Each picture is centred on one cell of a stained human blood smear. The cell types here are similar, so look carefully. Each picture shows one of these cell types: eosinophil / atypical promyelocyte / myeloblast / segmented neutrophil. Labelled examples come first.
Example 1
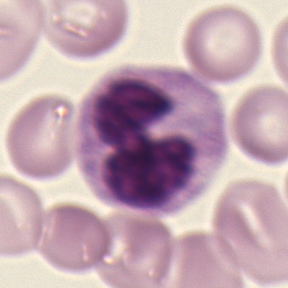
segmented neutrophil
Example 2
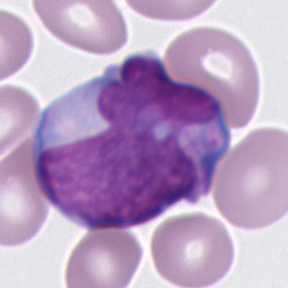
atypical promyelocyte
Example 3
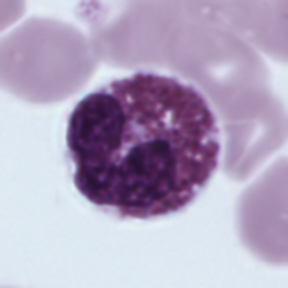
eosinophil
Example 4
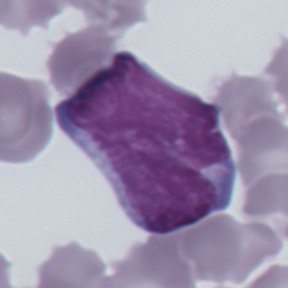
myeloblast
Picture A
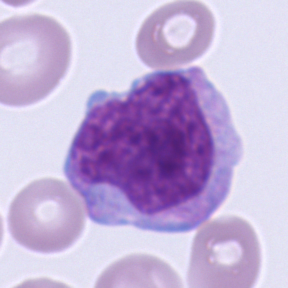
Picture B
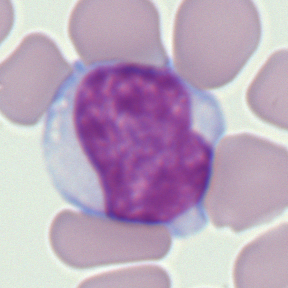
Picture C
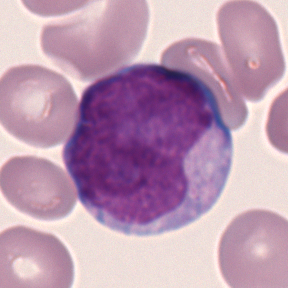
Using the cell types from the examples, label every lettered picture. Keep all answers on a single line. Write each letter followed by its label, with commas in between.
A atypical promyelocyte, B myeloblast, C atypical promyelocyte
